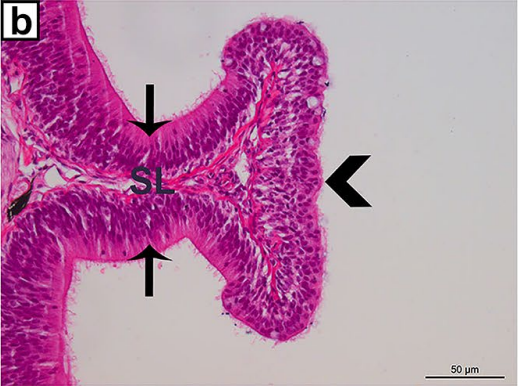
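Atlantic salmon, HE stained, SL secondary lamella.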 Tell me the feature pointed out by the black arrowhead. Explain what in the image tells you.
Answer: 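The epithelium there has rounder nuclei and paler cells than on the sides.
Conclusion: tips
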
